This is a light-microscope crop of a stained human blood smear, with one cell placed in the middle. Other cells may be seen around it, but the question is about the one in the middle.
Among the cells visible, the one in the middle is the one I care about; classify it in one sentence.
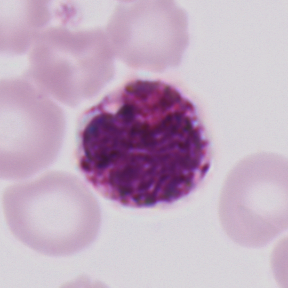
In this smear crop, the middle cell is an eosinophil.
